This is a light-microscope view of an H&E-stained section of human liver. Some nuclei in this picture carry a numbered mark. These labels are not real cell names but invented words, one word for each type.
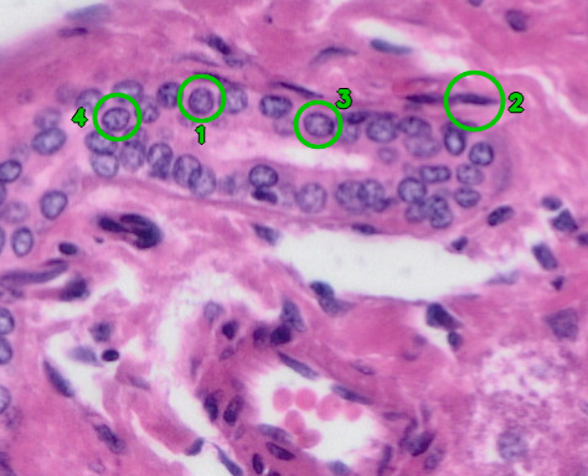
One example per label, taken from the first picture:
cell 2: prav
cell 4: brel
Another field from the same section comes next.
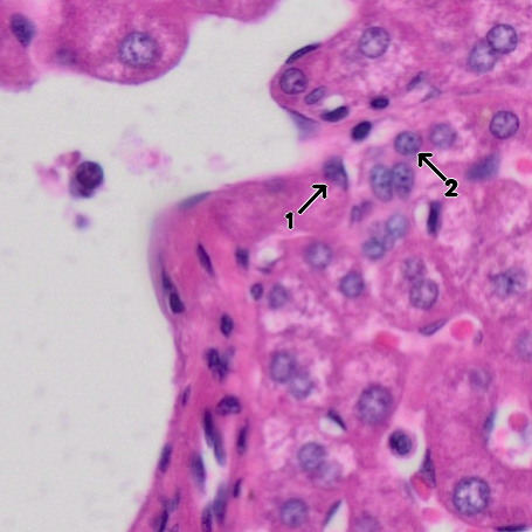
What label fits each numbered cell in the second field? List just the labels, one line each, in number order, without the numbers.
prav
brel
